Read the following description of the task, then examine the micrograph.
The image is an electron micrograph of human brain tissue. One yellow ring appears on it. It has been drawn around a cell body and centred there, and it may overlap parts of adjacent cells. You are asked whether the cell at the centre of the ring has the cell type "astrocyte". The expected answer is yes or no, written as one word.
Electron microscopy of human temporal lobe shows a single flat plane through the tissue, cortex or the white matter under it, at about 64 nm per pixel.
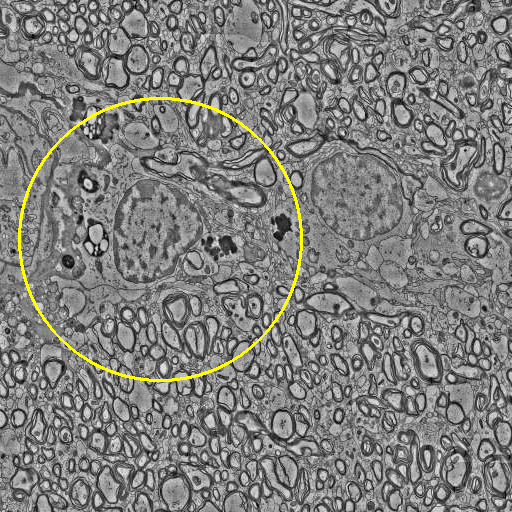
no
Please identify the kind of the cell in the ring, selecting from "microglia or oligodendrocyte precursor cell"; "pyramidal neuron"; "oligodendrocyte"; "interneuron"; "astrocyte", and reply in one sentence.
Instead, the ring in this picture marks a microglial cell or oligodendrocyte precursor cell.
